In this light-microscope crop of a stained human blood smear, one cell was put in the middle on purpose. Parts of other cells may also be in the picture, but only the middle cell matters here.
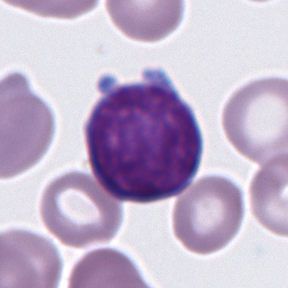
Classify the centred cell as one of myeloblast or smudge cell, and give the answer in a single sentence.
The cell in the middle of this crop is a myeloblast.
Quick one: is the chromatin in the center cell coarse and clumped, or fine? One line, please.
Its chromatin is clumped in a coarse pattern.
